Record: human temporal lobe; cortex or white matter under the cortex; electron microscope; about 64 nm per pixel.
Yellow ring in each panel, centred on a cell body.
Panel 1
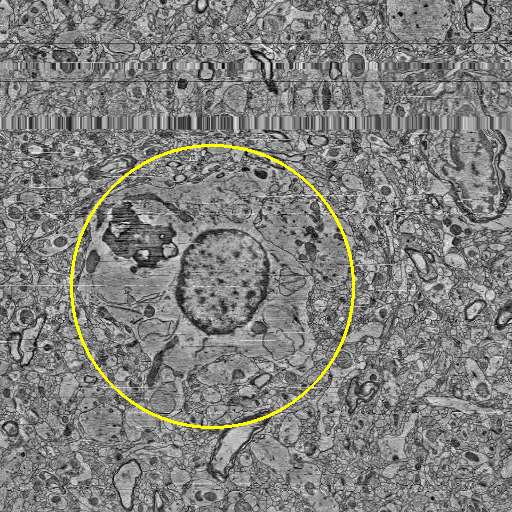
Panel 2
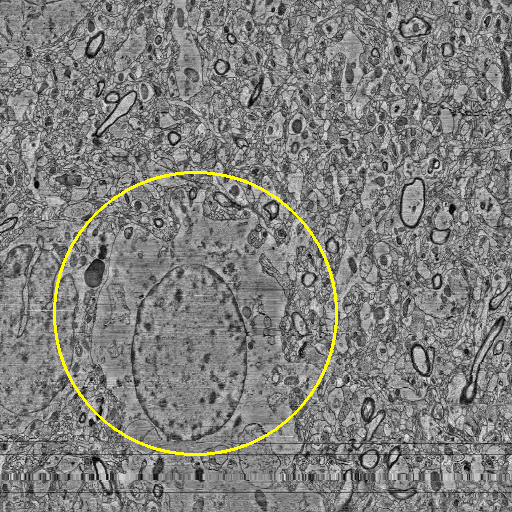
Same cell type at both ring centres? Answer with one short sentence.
Yes, both cells are of the same type.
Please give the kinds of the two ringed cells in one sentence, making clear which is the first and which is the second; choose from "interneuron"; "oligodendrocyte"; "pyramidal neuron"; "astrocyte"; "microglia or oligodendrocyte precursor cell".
The second cell is an astrocyte, just as the first is.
